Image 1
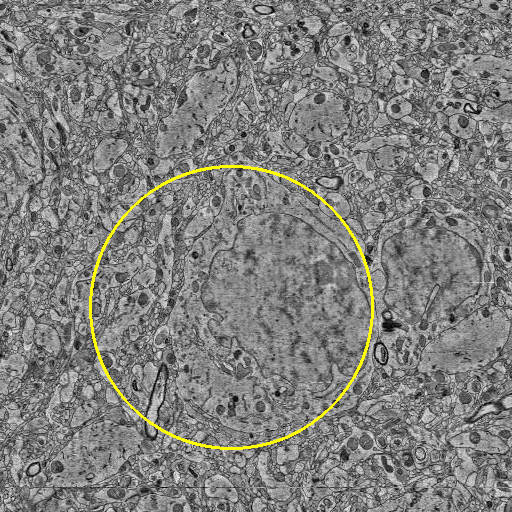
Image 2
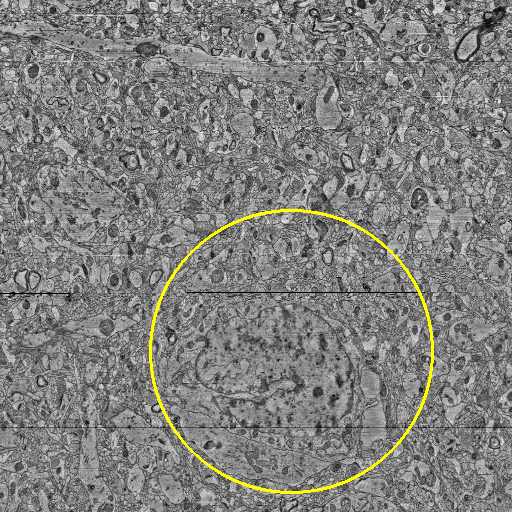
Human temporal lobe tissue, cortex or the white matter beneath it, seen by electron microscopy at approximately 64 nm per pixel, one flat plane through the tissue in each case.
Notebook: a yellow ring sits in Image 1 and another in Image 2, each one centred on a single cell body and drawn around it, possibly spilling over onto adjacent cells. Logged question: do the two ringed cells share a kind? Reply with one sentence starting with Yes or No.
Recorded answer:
Yes, both centre cells inside the rings of Image 1 and Image 2 share one kind.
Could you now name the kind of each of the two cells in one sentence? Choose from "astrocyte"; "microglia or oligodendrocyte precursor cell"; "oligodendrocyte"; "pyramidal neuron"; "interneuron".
Each of the ringed cells, first and second, is an interneuron.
